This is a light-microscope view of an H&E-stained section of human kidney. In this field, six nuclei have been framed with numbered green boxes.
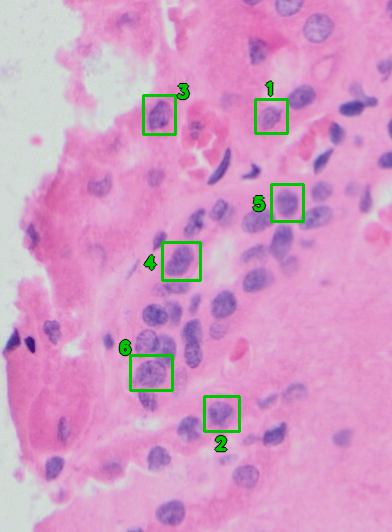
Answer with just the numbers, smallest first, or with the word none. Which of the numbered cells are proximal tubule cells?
1, 3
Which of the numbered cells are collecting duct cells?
4, 5, 6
